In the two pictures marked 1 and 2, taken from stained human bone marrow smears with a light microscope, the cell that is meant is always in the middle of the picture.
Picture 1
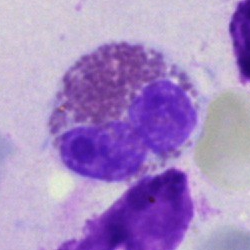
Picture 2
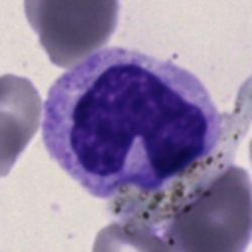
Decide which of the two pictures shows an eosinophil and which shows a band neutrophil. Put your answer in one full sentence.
Picture 1 is of an eosinophil, and picture 2 is of a band neutrophil.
